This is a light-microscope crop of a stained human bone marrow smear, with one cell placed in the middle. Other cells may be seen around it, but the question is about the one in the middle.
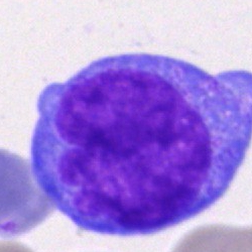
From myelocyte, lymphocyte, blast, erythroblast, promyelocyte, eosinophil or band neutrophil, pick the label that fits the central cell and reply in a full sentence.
Regarding the central cell, it is a blast.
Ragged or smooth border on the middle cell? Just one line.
Projections or ragged segments give this cell an irregular rather than smooth border.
